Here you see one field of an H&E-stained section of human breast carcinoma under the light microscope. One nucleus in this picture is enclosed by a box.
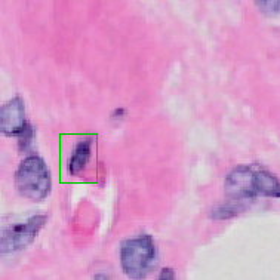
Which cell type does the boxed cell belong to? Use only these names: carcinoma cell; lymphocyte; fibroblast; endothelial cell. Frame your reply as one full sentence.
Within this tissue, the boxed cell is an endothelial cell.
